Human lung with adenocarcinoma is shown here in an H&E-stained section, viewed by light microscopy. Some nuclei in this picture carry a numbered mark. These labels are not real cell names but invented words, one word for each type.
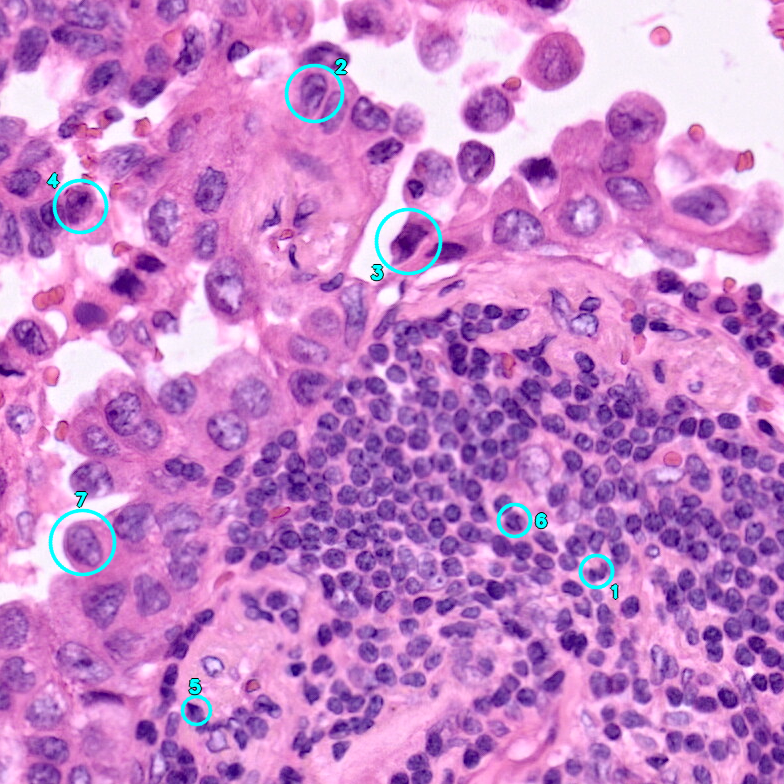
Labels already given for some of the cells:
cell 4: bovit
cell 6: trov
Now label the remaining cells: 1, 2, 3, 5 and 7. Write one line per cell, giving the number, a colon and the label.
1: trov
2: bovit
3: bovit
5: trov
7: bovit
